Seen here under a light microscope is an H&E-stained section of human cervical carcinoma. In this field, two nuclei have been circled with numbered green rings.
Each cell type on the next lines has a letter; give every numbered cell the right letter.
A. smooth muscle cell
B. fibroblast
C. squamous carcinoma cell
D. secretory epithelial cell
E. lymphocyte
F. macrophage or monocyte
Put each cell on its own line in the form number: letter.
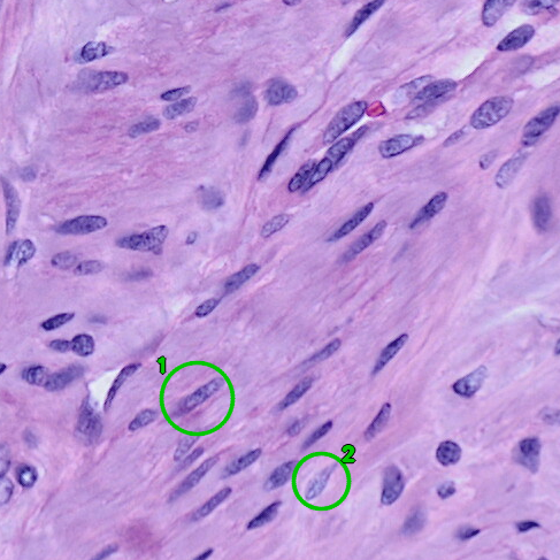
1: A
2: B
